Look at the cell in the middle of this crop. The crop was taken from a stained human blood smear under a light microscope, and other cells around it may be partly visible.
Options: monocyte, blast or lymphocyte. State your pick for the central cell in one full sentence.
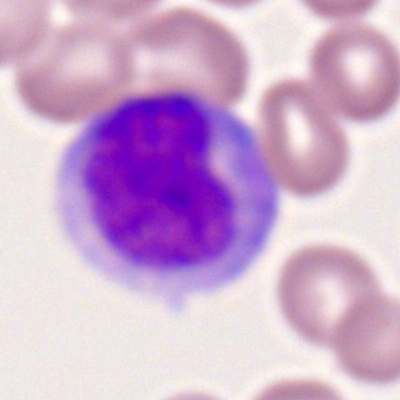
Classified as a monocyte is the cell in the middle of this crop.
